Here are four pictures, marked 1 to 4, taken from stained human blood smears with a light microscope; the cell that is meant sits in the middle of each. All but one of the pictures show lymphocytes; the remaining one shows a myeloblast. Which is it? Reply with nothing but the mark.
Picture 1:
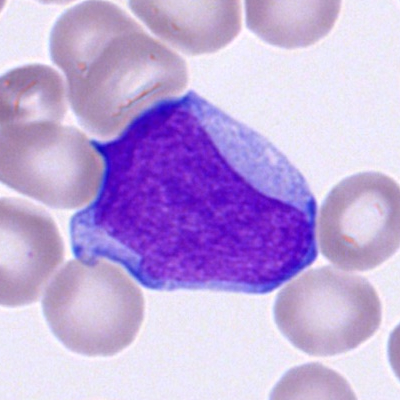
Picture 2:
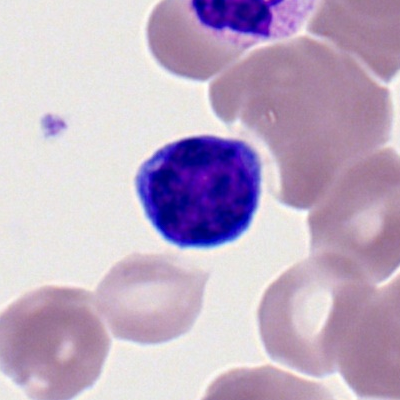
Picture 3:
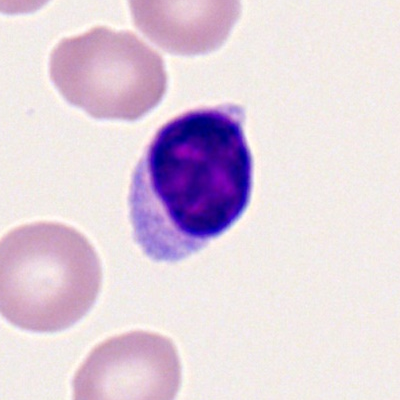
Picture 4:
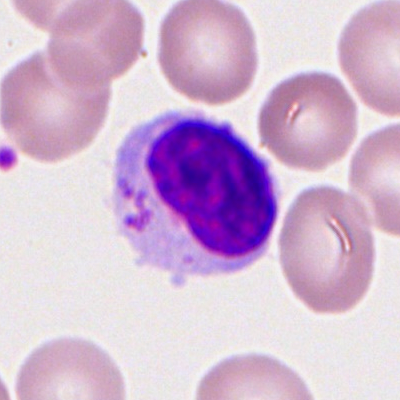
1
